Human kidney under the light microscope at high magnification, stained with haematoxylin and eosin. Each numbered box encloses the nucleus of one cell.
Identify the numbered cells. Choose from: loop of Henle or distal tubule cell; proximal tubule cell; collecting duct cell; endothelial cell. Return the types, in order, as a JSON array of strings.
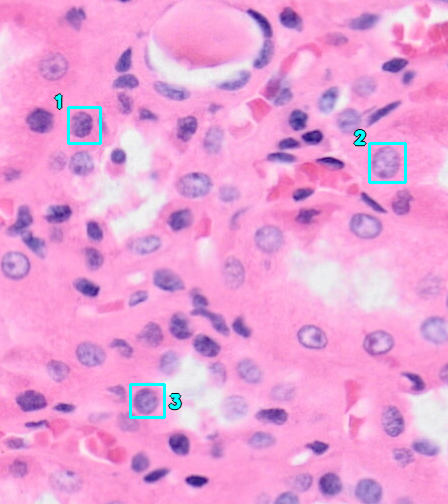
["loop of Henle or distal tubule cell", "proximal tubule cell", "loop of Henle or distal tubule cell"]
